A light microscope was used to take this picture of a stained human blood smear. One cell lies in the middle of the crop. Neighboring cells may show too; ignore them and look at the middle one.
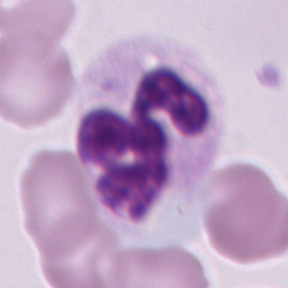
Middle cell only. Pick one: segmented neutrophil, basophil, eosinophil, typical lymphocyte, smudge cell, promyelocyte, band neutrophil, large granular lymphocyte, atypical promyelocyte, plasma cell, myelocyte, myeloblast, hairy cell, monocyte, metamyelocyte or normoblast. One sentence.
In short, the cell at the center is a segmented neutrophil.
